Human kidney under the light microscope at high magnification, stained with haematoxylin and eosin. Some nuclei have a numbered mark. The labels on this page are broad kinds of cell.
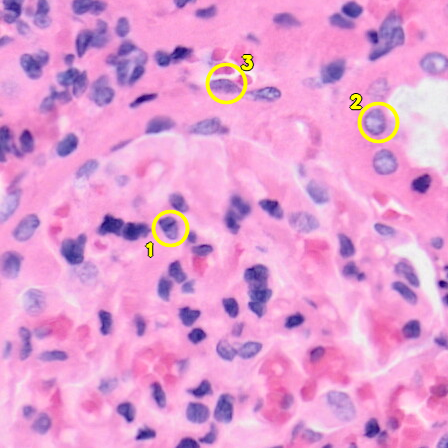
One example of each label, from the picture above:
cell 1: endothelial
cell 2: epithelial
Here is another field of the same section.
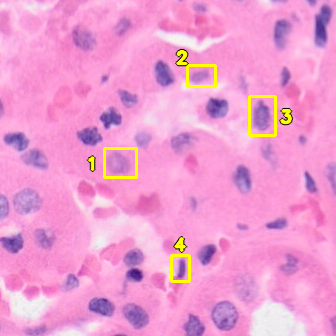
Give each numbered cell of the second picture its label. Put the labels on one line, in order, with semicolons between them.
epithelial; epithelial; epithelial; endothelial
